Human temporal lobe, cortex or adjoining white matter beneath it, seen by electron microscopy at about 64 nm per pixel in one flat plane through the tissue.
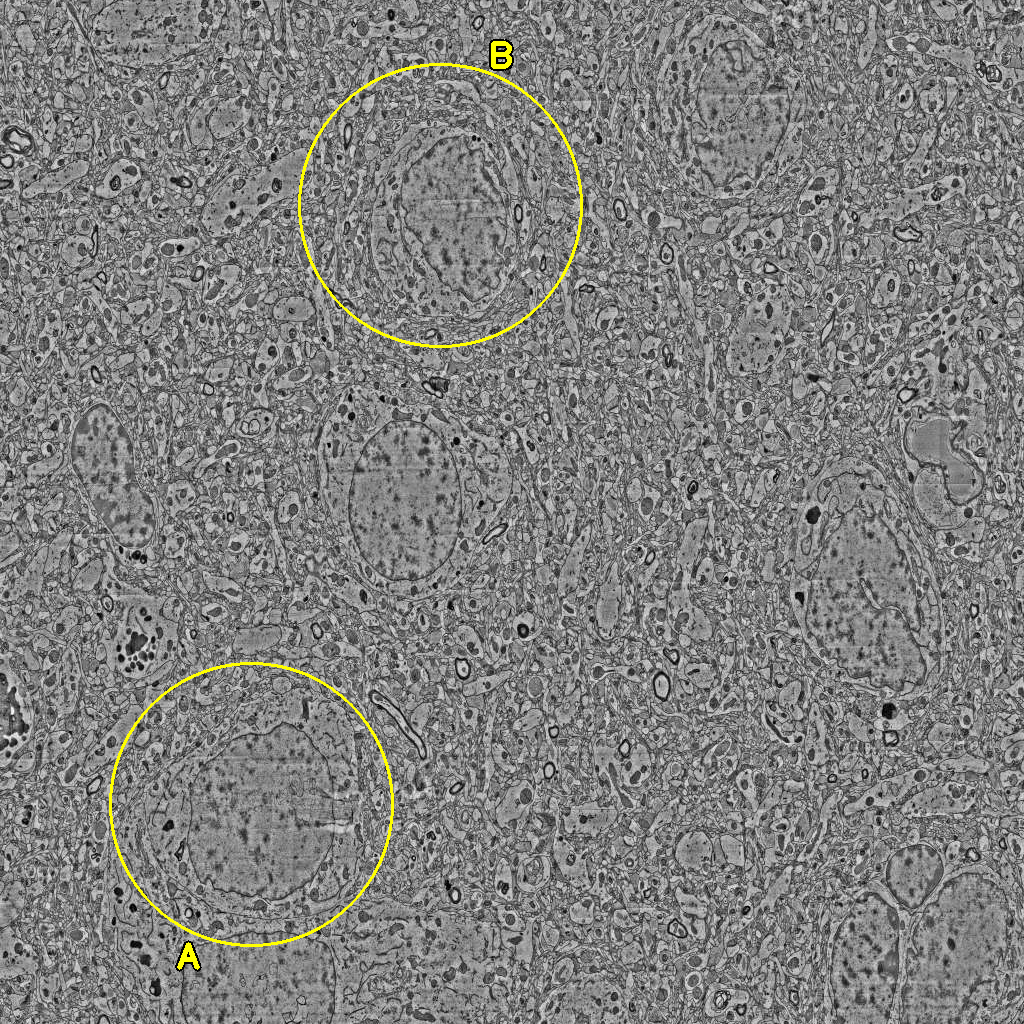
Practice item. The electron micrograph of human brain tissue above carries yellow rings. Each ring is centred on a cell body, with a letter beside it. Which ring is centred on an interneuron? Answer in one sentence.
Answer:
Ring B is centred on it.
